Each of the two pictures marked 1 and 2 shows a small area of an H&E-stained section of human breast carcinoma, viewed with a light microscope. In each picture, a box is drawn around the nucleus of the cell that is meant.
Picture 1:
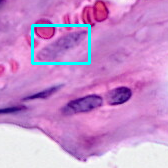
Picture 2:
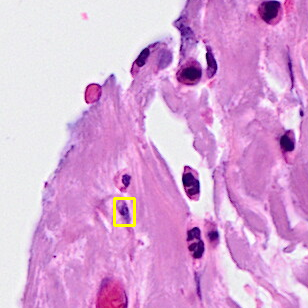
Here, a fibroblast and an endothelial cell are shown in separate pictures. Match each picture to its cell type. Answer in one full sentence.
Picture 2 shows a fibroblast, while picture 1 shows an endothelial cell.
